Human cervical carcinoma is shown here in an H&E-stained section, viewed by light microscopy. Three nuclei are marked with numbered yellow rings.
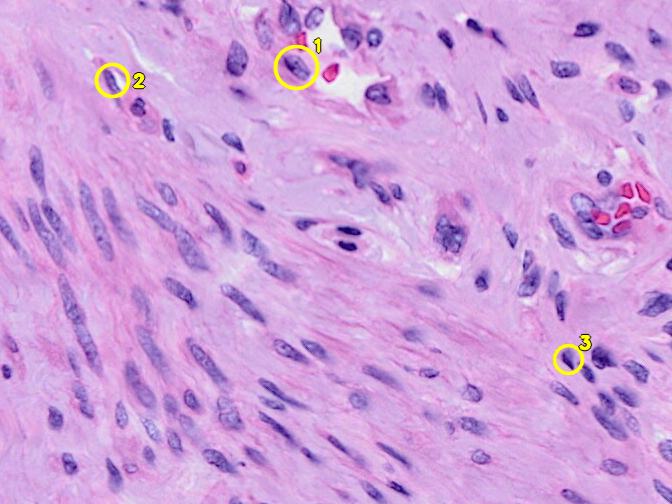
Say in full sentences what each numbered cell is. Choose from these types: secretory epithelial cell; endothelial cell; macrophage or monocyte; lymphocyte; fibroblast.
Cells 1 and 2 are endothelial cells. Cell 3 is a fibroblast.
